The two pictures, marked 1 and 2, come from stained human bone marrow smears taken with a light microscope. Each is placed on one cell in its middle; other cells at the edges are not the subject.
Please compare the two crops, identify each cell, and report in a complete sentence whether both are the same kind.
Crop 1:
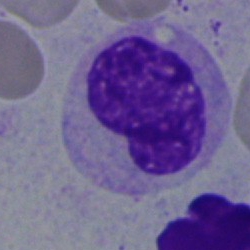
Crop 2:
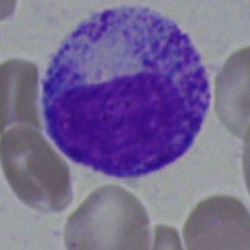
No, crop 1 shows a metamyelocyte and crop 2 shows a myelocyte.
